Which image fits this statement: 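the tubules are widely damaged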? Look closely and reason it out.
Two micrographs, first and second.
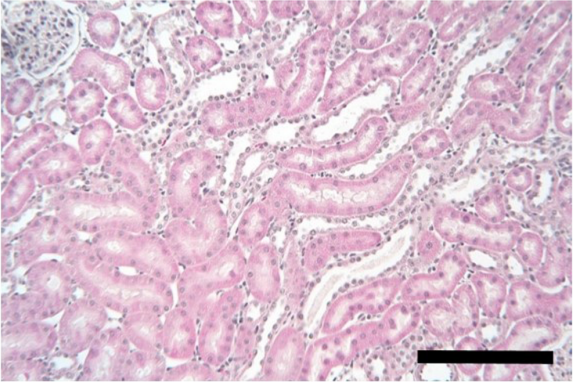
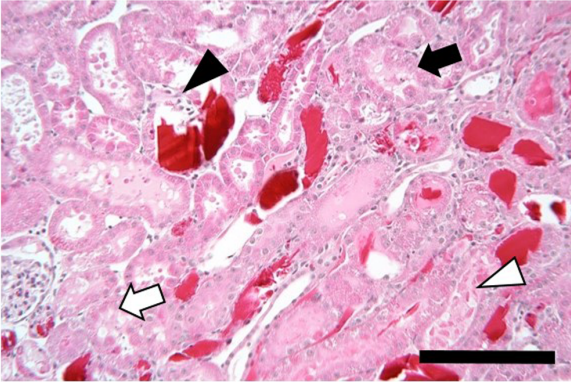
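The second image. Second image: many tubules have swollen, pale or disrupted linings and many lumens hold deep red casts. First image: tubules have orderly cuboidal linings with regular nuclei and open lumens.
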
